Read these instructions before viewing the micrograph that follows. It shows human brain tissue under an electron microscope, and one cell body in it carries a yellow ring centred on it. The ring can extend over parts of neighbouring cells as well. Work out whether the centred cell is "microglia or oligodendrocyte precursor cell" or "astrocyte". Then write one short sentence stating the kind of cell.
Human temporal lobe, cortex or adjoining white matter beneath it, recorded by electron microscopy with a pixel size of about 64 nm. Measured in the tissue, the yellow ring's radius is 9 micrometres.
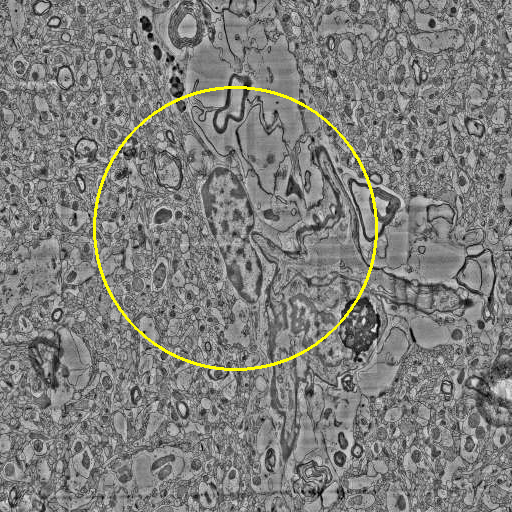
The ringed cell is a microglial cell or oligodendrocyte precursor cell.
